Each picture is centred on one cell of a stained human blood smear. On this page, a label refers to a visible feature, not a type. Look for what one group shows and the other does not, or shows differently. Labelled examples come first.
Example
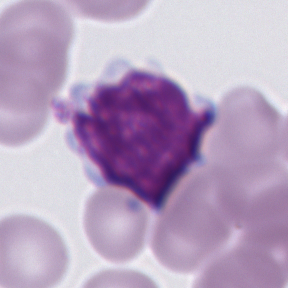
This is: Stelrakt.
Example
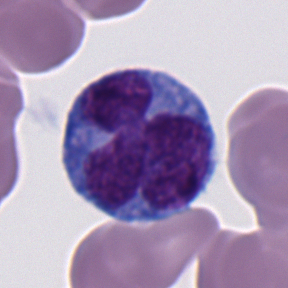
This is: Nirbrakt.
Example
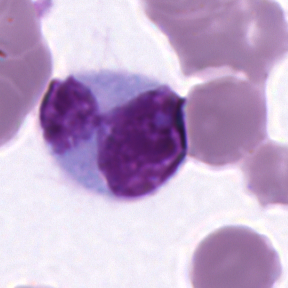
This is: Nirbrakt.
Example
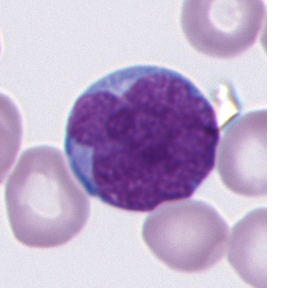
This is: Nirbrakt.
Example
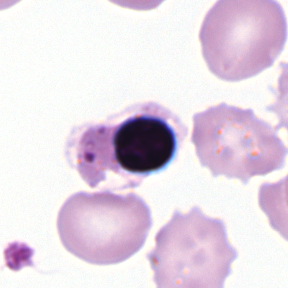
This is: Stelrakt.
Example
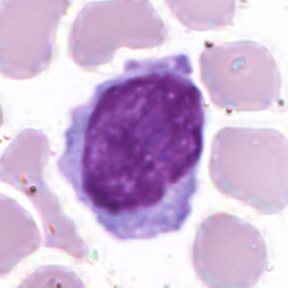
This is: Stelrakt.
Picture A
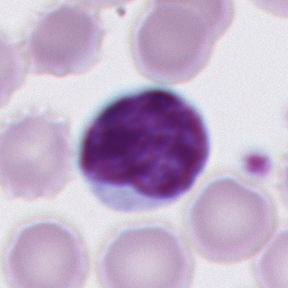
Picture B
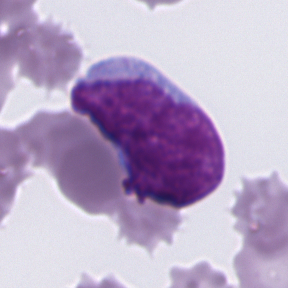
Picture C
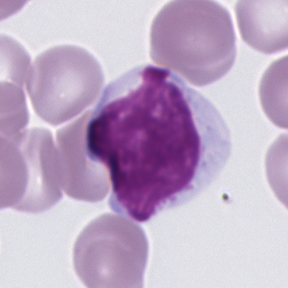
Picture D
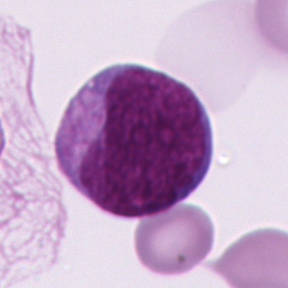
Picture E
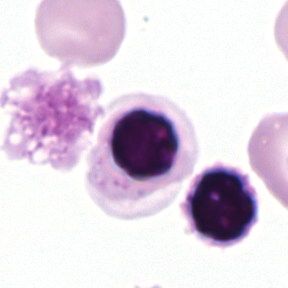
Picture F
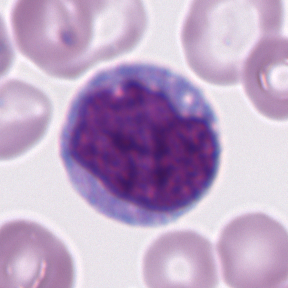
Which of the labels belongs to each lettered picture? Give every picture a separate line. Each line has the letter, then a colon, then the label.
A: Nirbrakt.
B: Stelrakt.
C: Nirbrakt.
D: Nirbrakt.
E: Nirbrakt.
F: Nirbrakt.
